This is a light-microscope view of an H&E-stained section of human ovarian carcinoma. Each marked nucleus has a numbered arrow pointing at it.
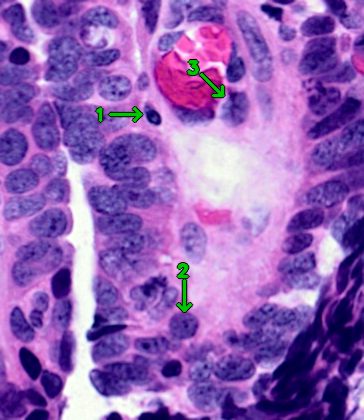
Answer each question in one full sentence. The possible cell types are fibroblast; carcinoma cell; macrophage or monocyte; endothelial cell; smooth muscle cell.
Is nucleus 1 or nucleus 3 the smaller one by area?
It is nucleus 1; nucleus 3 has about 3 times its area.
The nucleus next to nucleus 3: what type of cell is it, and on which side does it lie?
Just to the right of nucleus 3 lies the nearest nucleus, which belongs to a fibroblast.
